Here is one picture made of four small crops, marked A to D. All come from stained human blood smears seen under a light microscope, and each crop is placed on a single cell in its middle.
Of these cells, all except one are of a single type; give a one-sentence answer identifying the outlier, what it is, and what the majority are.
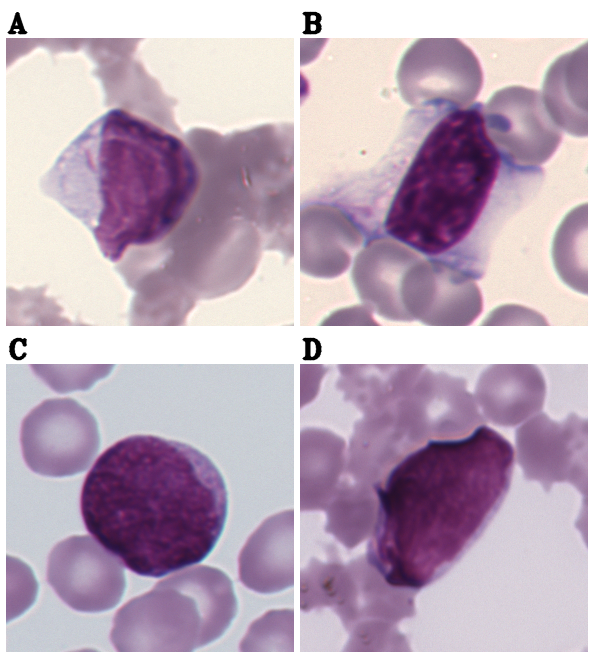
Differing from the rest, crop B shows a large granular lymphocyte; the others all show blasts.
